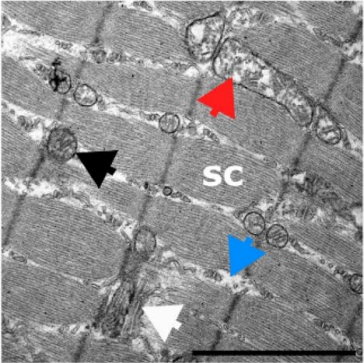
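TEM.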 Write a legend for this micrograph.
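Skeletal muscle fibre cut longitudinally, with parallel myofibrils showing regular sarcomeres and dark Z-lines. Between the myofibrils lie round mitochondria, some with visible inner folds, others enlarged and pale. Pale cytoplasm gathers in places between the myofibrils.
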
